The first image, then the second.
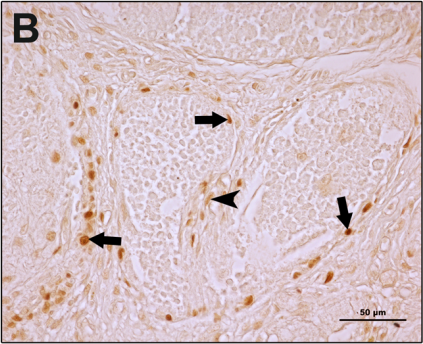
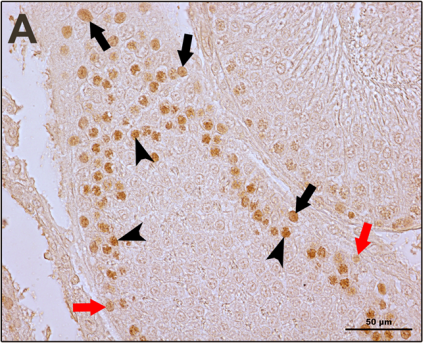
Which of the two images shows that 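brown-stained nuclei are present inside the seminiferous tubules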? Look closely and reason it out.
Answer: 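The second image. First image: the tubule interiors hold only unstained nuclei; brown nuclei lie at the tubule edges and between tubules. Second image: many brown nuclei fill the basal part of the tubule.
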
